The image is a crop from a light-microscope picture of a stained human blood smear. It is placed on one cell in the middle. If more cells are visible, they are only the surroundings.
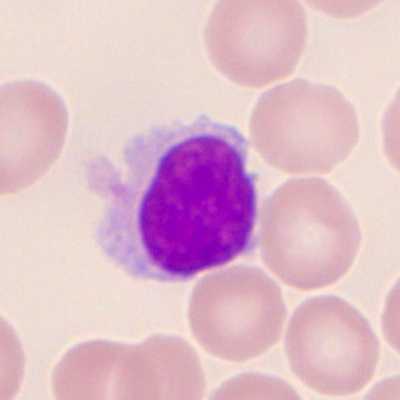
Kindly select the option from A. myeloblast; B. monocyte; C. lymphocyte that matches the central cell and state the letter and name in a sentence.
Option C correctly names the cell in the middle as a lymphocyte.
